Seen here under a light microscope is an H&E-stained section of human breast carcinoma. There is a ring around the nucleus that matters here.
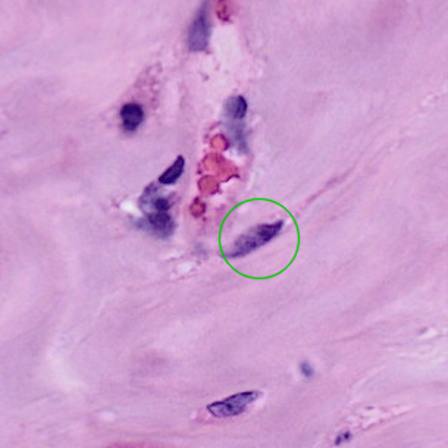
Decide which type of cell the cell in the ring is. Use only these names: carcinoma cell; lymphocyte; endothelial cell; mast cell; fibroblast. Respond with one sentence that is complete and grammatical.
It is as a fibroblast that the cell in the ring is classified.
